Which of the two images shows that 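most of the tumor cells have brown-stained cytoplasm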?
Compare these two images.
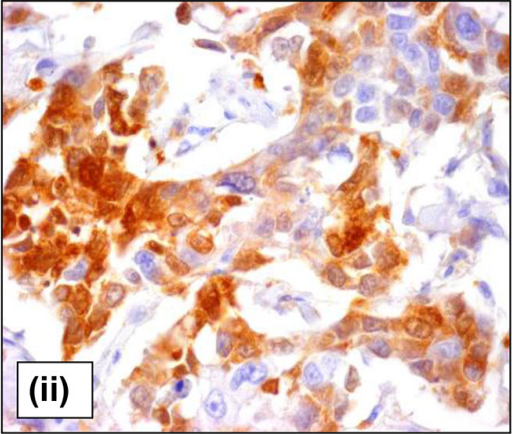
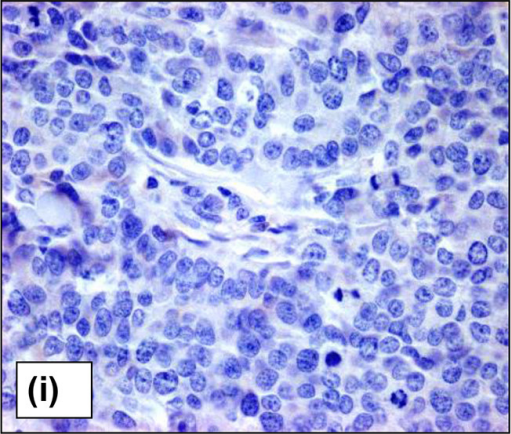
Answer: The first image.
